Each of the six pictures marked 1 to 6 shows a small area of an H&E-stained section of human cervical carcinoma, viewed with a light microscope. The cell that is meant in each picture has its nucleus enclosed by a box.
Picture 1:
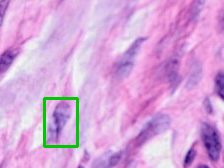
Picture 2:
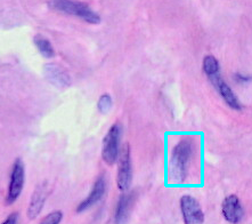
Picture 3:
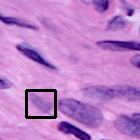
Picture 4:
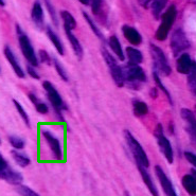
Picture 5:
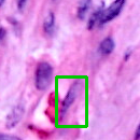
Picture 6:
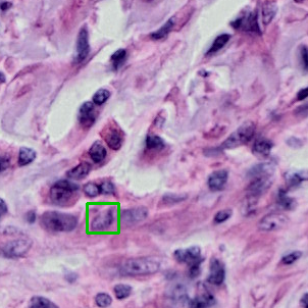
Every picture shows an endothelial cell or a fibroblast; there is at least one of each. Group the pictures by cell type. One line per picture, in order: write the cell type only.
fibroblast
fibroblast
fibroblast
fibroblast
endothelial cell
endothelial cell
